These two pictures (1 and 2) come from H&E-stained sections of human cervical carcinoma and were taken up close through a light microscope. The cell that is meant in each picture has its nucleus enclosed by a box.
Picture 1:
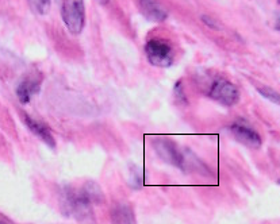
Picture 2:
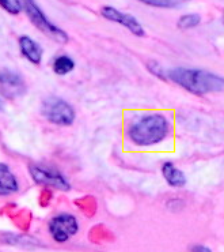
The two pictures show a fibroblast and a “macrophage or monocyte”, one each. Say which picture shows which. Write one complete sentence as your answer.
Picture 1 is of a fibroblast, and picture 2 is of a “macrophage or monocyte”.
